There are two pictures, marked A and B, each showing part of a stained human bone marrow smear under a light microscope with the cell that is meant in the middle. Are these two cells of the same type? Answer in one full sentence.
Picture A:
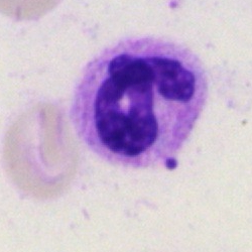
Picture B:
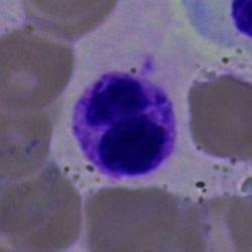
No; the cell in picture A is a segmented neutrophil, while the one in picture B is a basophil.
